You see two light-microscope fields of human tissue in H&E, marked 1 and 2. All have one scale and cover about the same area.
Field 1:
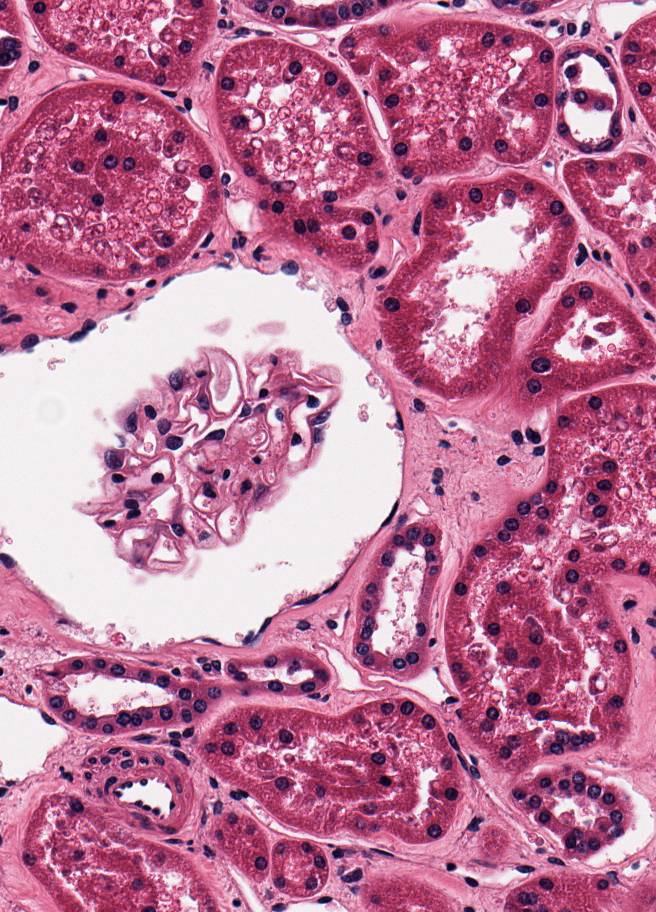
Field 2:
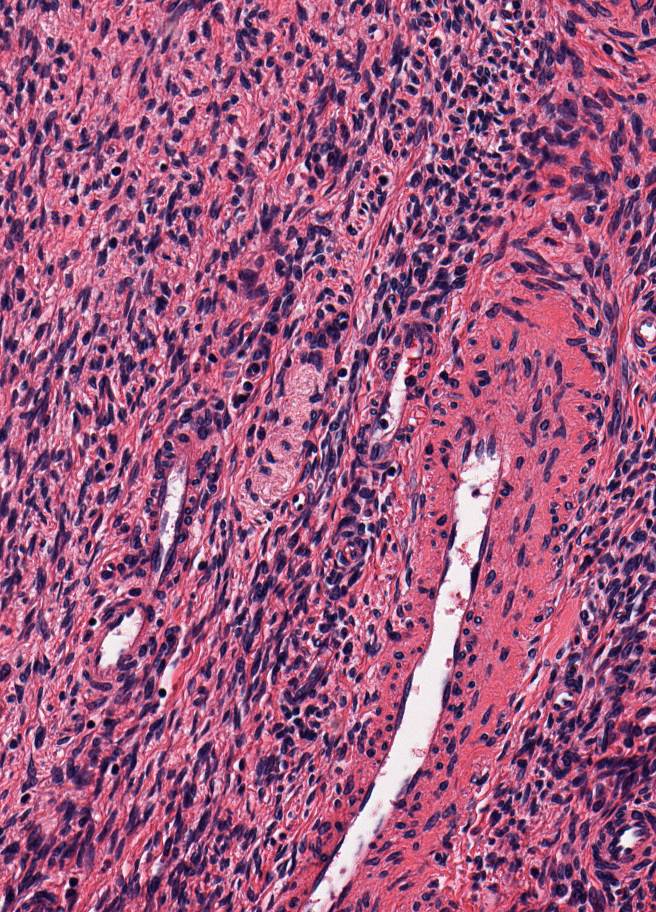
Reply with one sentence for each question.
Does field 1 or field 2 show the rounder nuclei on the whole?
Rounder nuclei lie in field 1.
